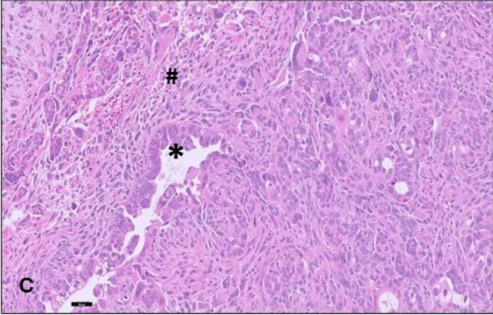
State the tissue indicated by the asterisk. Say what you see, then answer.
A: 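Cohesive atypical epithelial cells border a gland-like space. Large pleomorphic nuclei. The answer: high-grade carcinoma component.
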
